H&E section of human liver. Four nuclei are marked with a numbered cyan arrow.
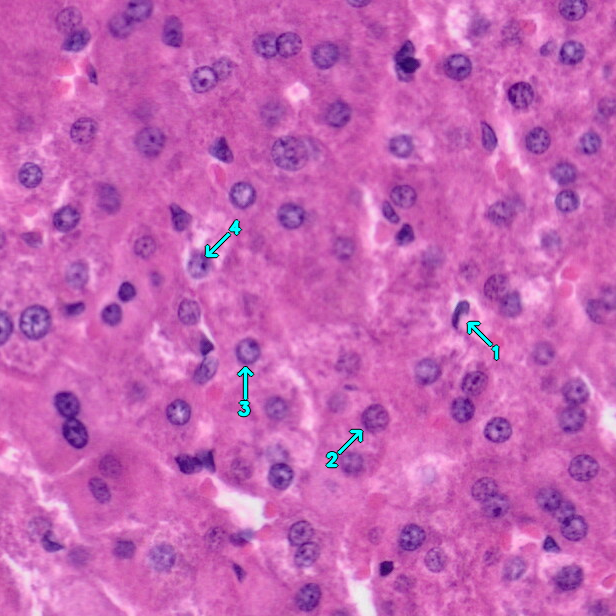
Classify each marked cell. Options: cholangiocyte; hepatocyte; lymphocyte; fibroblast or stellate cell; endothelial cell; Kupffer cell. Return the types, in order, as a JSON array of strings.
["endothelial cell", "hepatocyte", "hepatocyte", "hepatocyte"]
